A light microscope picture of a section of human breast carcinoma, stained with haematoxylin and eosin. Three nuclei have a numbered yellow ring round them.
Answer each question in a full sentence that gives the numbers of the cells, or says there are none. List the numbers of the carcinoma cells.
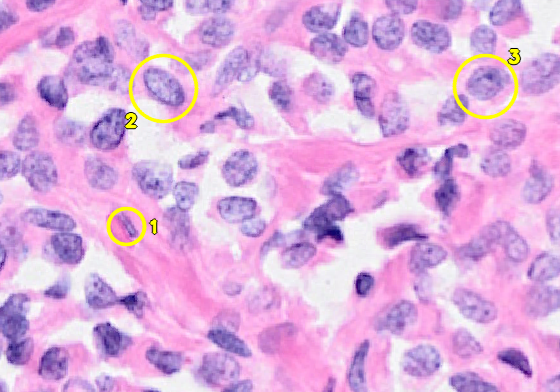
The cells referred to by the numbers 2 and 3 are carcinoma cells.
